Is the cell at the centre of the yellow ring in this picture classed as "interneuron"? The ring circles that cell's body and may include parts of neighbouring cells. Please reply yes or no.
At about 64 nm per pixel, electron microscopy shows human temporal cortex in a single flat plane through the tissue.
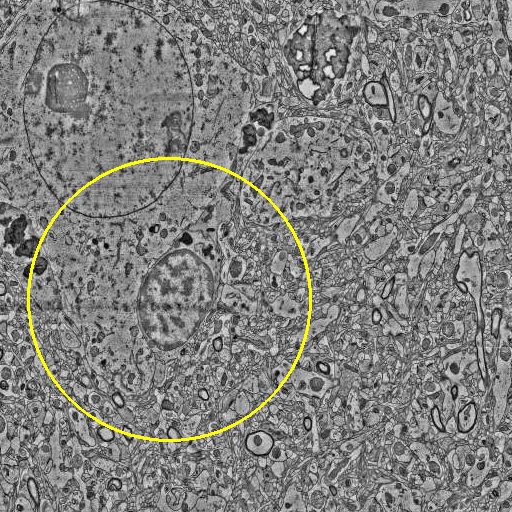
No, it is of another kind.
